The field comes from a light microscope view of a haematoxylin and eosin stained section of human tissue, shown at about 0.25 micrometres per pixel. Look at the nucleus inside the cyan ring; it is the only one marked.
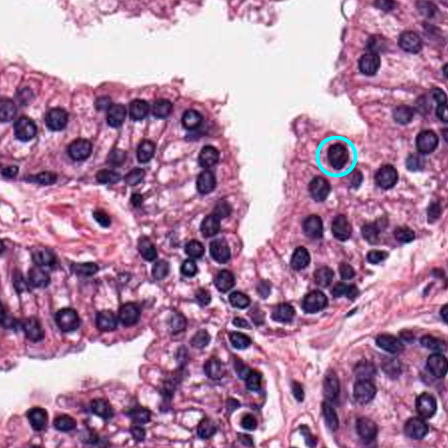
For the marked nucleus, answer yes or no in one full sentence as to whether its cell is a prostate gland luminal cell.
Yes, the cell that houses the marked nucleus is a prostate gland luminal cell.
